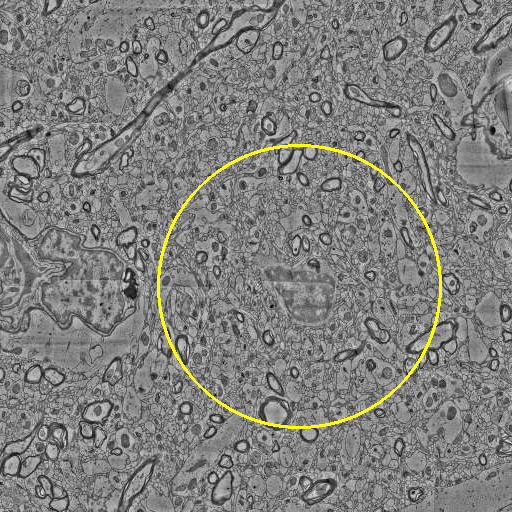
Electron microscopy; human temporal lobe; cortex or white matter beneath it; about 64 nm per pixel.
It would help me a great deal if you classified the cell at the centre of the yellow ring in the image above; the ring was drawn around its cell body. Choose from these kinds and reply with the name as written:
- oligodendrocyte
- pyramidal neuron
oligodendrocyte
